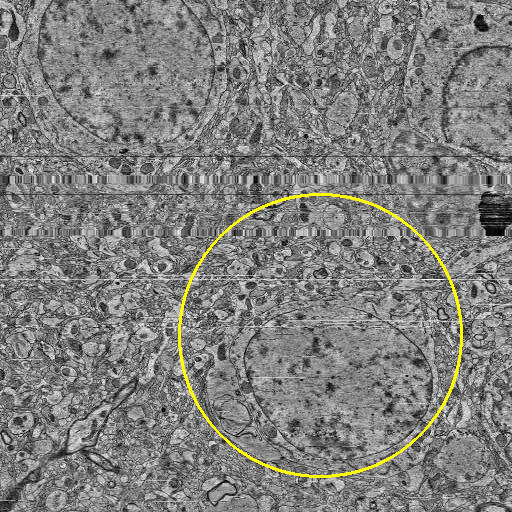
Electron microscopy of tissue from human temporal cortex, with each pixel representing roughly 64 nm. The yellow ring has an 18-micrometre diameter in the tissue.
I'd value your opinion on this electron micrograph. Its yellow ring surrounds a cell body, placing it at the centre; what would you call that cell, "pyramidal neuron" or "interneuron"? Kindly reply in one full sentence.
It is a pyramidal neuron that sits centred within the yellow ring in this micrograph.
